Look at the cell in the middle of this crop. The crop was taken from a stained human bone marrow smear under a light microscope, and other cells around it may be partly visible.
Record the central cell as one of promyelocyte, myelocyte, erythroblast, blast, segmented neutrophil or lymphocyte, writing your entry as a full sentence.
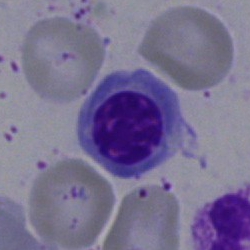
The crop shows an erythroblast in its centre.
